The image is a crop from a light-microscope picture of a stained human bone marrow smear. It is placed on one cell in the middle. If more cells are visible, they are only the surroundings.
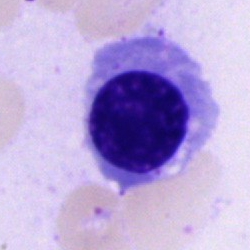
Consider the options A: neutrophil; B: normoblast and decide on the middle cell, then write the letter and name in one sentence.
The correct identification, given in option B, is that the central cell is a normoblast.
